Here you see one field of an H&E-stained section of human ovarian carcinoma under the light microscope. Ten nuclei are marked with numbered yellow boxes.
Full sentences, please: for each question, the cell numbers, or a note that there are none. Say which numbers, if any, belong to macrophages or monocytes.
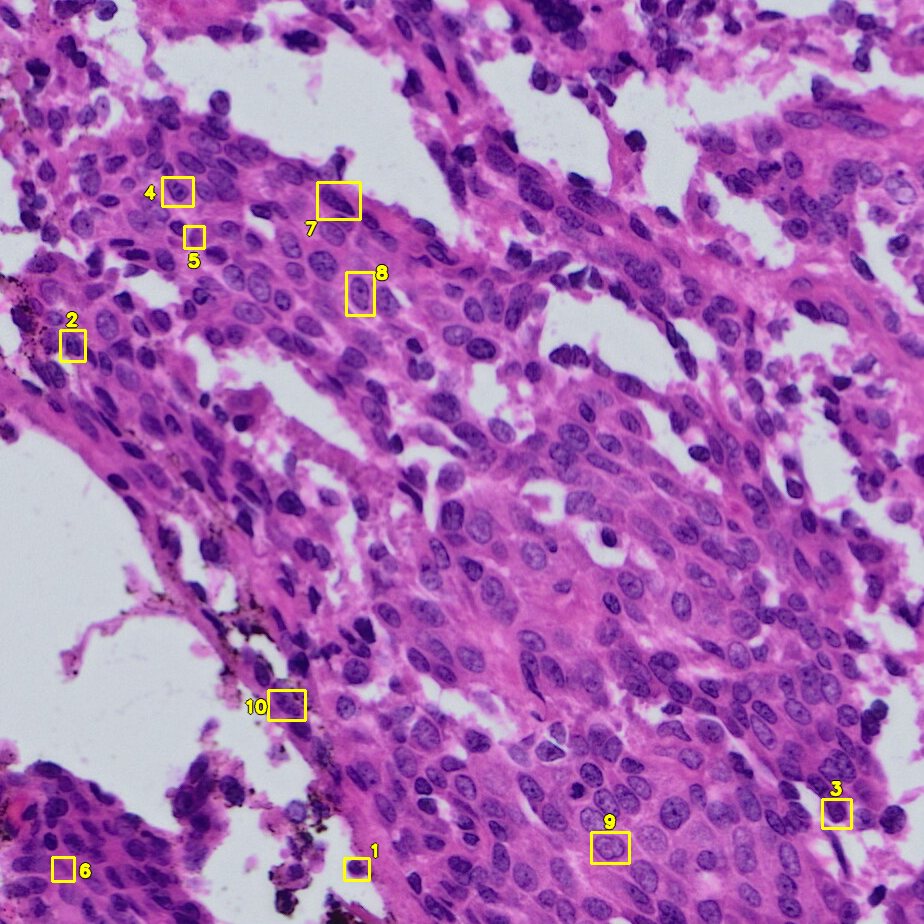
Cells 2, 4, 5 and 8 are classified as macrophages or monocytes.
